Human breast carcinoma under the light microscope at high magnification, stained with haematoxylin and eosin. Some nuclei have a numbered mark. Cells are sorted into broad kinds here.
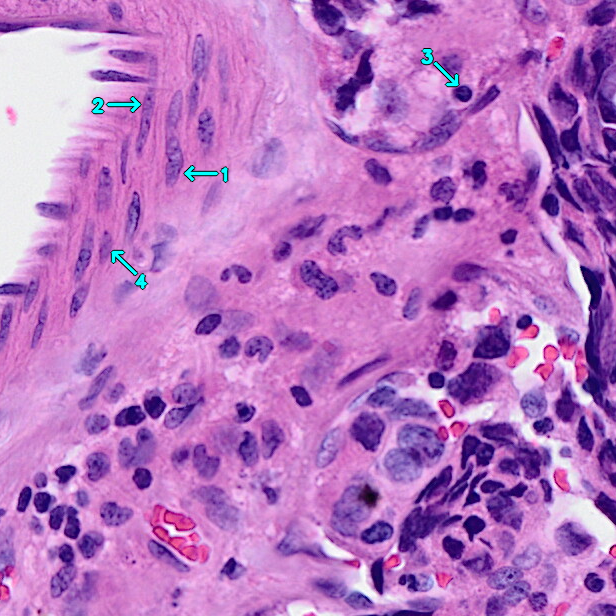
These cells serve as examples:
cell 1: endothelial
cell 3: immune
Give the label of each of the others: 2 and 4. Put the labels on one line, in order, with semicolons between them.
endothelial; endothelial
